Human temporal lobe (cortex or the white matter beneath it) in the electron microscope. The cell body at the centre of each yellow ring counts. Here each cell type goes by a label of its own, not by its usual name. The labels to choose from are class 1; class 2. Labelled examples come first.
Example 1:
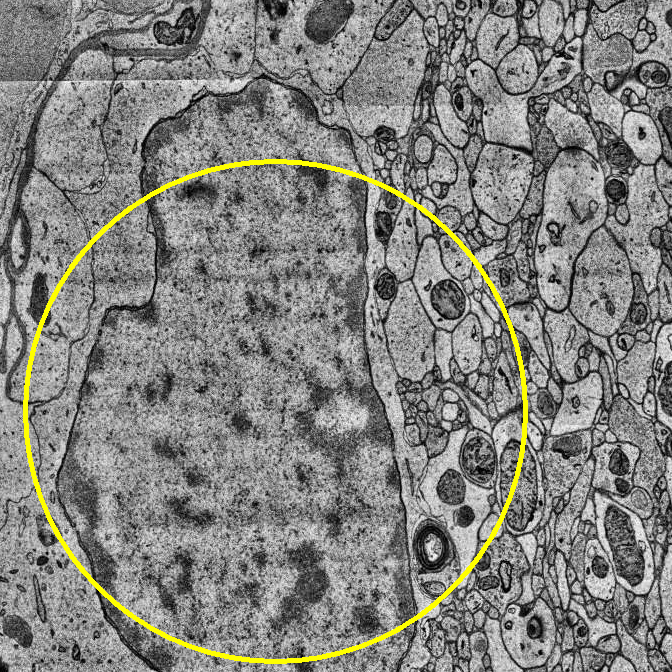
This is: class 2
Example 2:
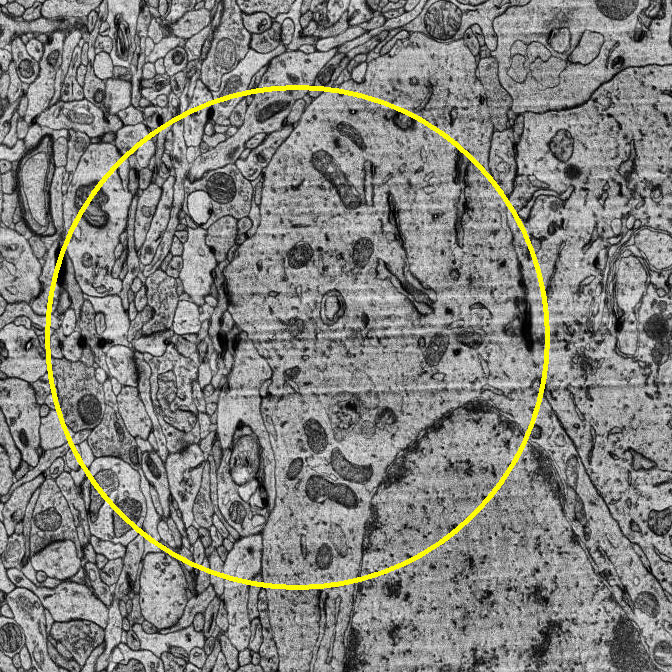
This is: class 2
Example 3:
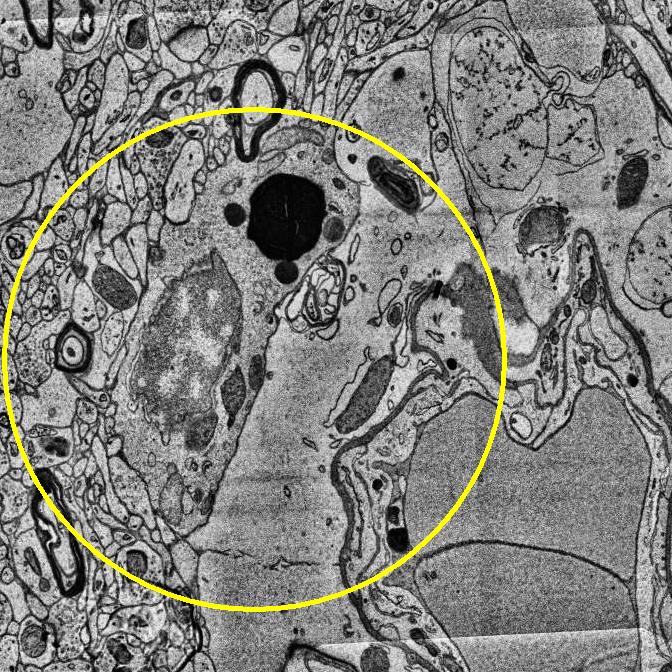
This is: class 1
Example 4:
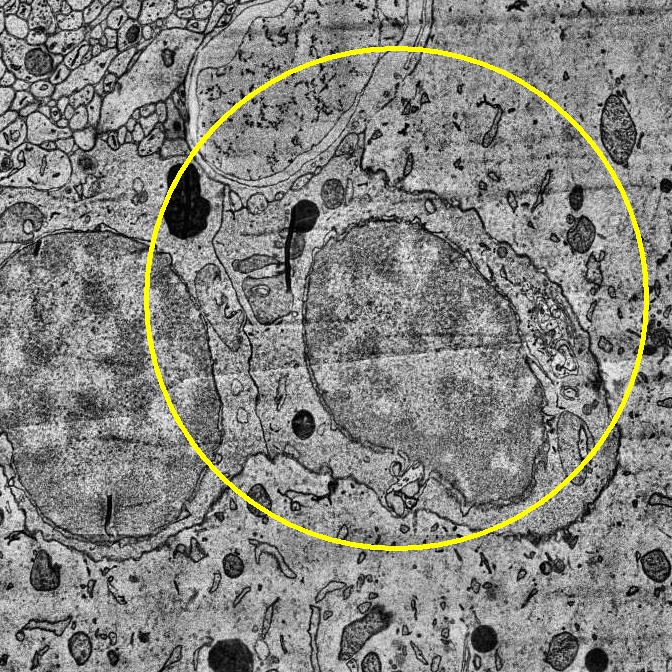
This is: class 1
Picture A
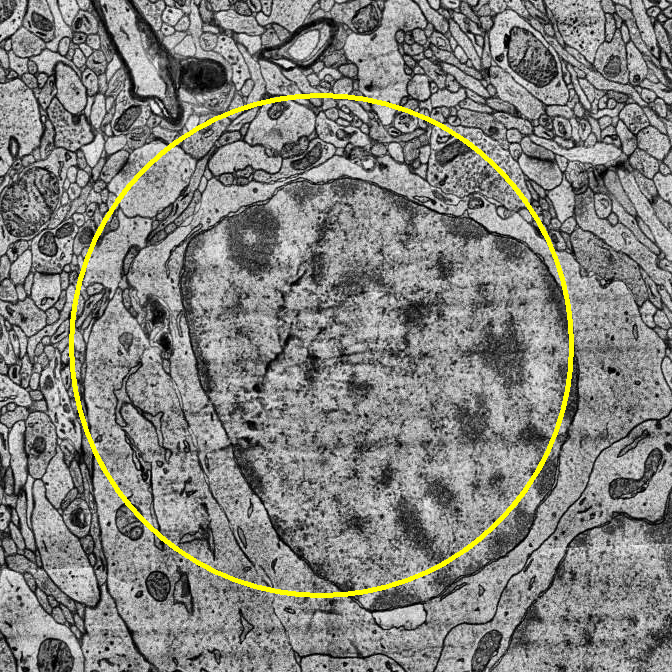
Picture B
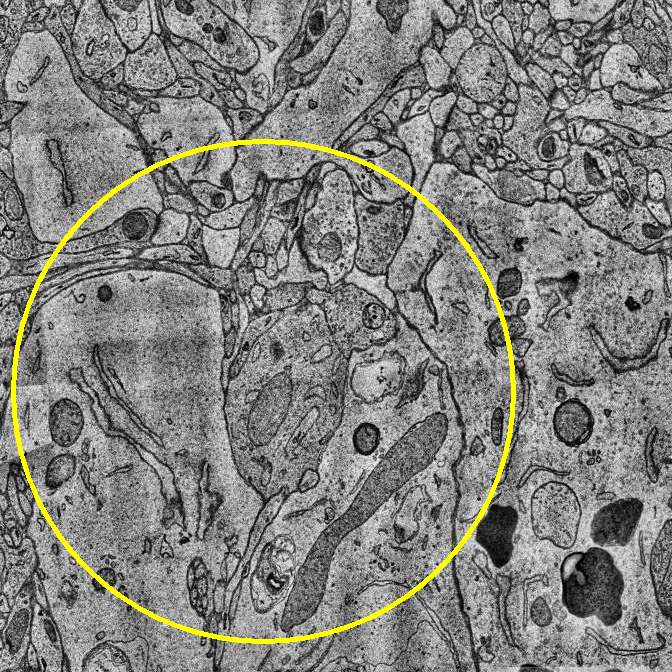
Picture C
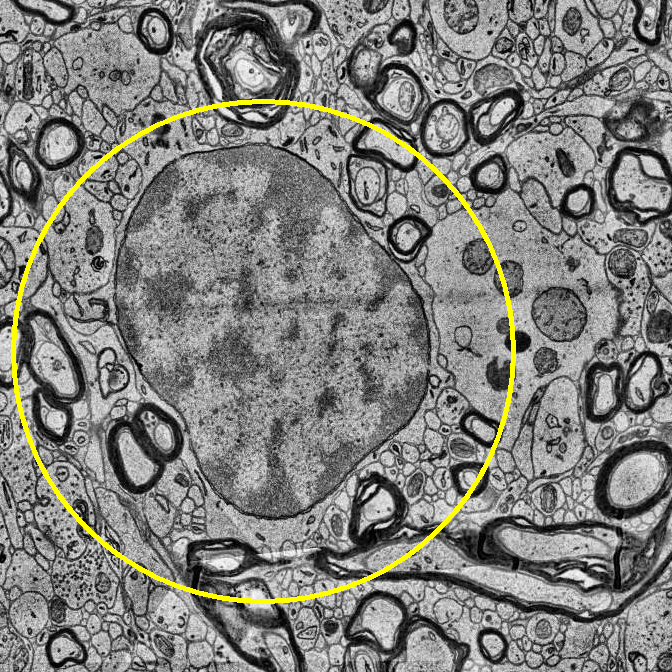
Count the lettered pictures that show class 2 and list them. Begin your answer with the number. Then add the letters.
Count: 2 (A, C)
